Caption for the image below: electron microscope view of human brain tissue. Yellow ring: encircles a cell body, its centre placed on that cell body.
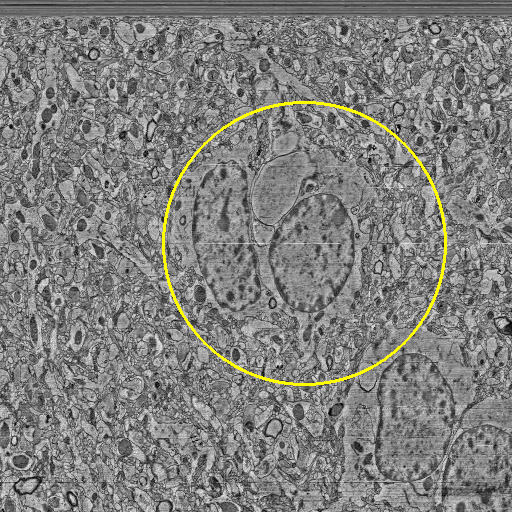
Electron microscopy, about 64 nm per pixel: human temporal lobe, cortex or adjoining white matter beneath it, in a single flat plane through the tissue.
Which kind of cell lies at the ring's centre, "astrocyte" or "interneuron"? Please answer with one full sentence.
The picture shows an astrocyte at the centre of the yellow ring.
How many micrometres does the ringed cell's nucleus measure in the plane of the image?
About 8 micrometres by about 5 micrometres in this plane.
